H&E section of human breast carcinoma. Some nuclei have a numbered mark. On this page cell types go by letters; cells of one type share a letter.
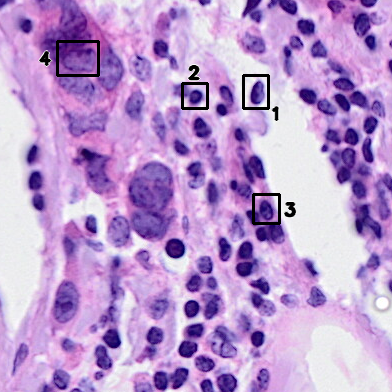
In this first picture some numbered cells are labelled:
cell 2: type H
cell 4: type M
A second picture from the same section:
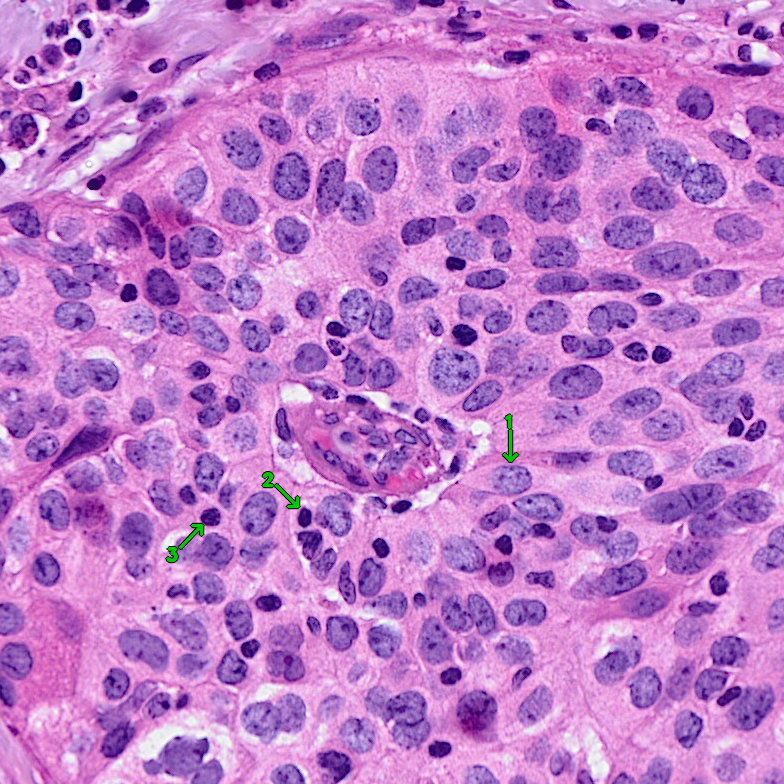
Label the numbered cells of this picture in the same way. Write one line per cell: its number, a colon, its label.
1: type M
2: type H
3: type H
